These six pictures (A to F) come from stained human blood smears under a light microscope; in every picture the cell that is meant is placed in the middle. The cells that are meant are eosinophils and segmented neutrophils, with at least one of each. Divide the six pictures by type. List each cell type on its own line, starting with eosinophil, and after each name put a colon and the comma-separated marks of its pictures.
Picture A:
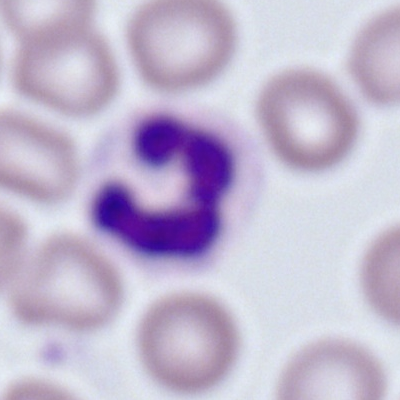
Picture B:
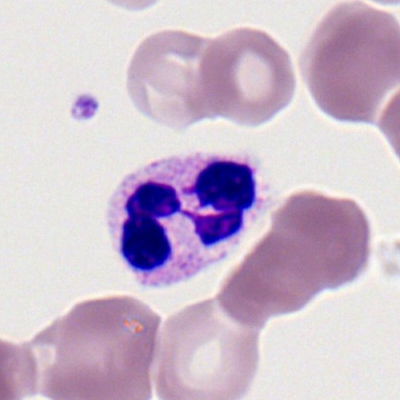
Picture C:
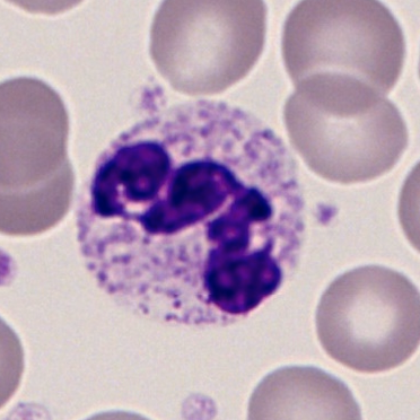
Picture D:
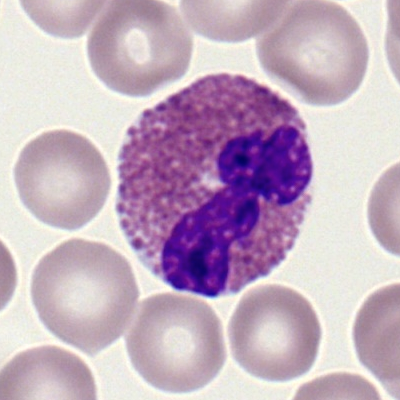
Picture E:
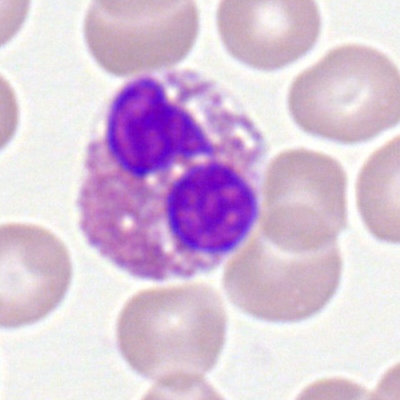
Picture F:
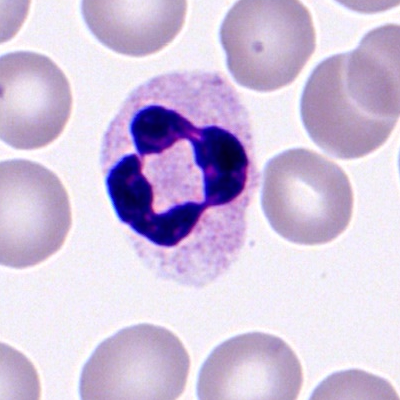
eosinophil: D, E
segmented neutrophil: A, B, C, F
